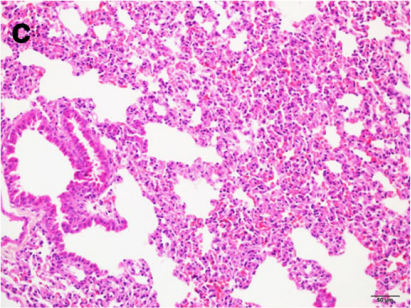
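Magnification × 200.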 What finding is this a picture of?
Widened alveolar septum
